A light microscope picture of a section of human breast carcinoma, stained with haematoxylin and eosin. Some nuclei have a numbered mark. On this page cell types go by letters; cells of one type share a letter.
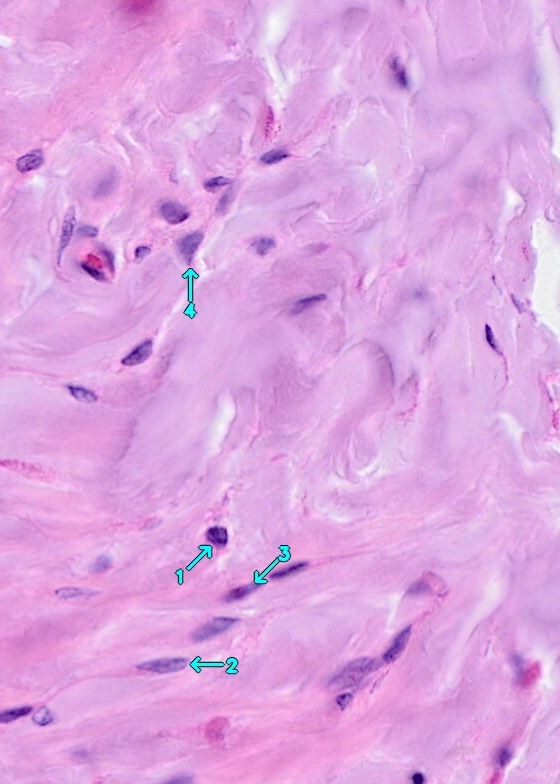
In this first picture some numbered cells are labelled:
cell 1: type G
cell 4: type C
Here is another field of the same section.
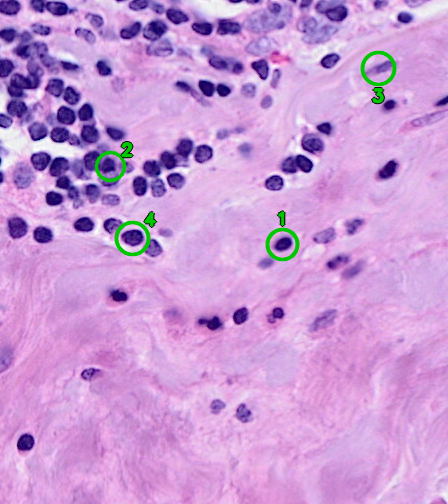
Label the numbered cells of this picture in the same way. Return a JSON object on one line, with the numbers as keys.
{"1": "type G", "2": "type G", "3": "type C", "4": "type G"}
